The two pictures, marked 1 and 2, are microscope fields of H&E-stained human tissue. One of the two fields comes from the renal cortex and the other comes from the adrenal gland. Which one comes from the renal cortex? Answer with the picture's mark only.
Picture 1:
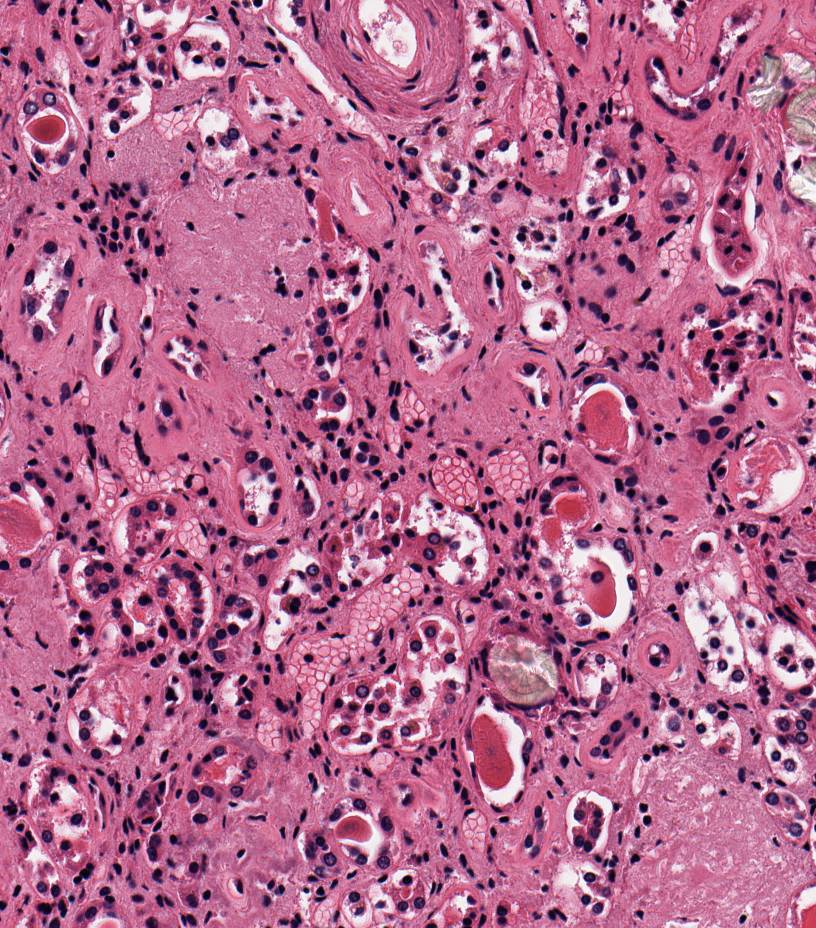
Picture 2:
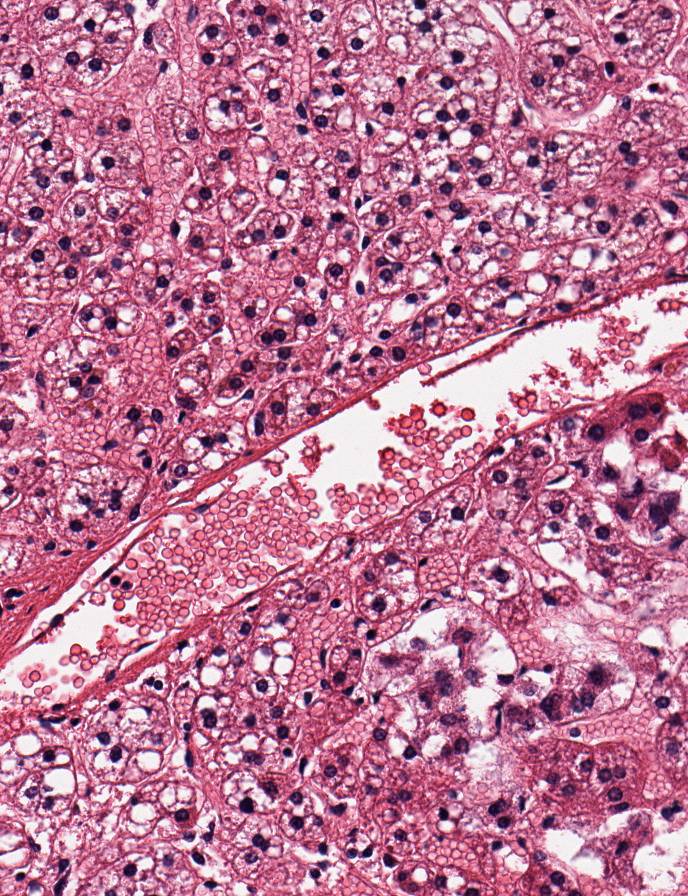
1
